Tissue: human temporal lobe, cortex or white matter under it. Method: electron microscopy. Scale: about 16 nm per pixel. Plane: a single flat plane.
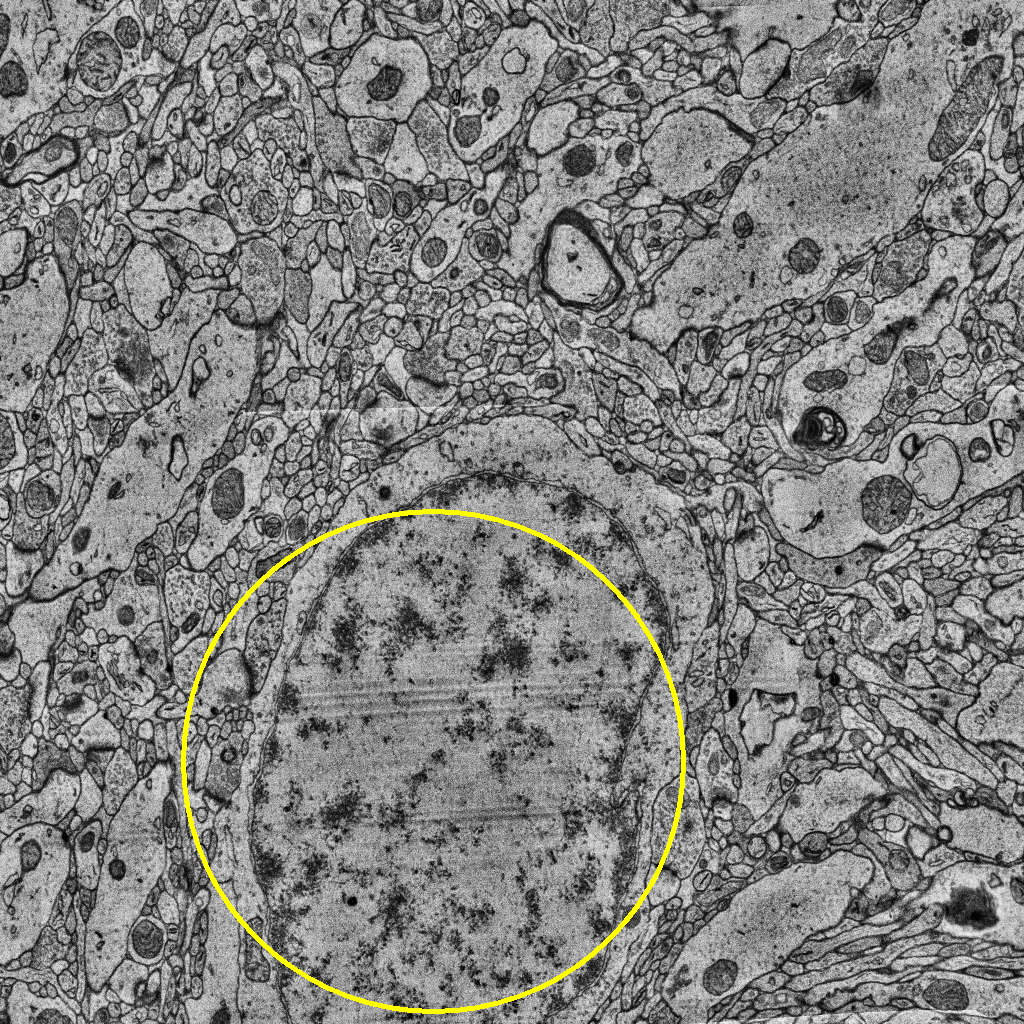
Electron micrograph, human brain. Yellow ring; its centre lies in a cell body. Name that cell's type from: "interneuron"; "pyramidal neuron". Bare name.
interneuron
